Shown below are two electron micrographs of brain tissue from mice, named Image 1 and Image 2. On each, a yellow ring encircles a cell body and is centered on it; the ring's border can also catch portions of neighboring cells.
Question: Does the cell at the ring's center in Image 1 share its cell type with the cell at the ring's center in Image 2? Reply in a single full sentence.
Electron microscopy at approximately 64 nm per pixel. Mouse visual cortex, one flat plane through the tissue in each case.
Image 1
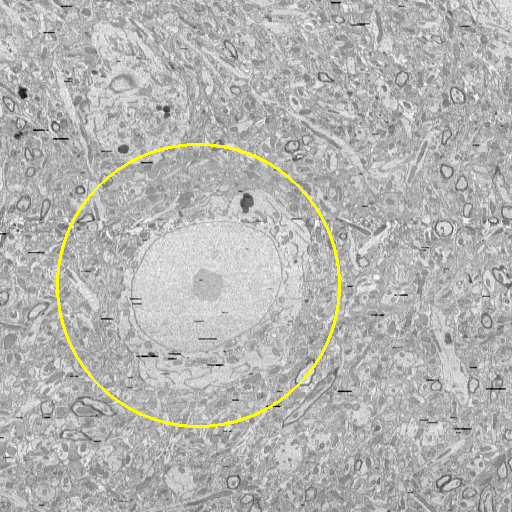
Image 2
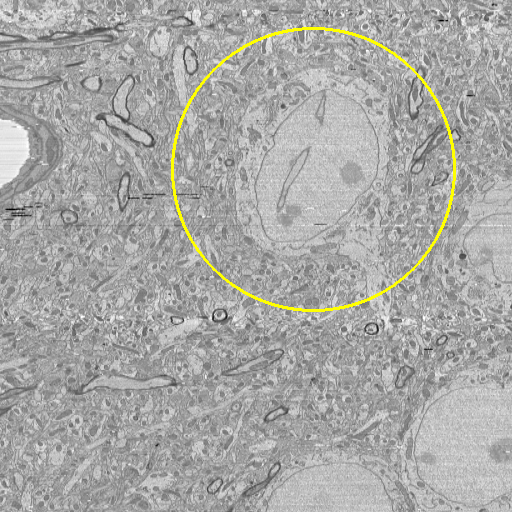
Yes, the two cells at the ring centers, in Image 1 and Image 2, share one cell type.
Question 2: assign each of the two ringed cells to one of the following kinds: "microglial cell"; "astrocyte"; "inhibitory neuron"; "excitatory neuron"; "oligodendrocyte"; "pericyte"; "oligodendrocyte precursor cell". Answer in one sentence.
Each of the two cells is an excitatory neuron.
